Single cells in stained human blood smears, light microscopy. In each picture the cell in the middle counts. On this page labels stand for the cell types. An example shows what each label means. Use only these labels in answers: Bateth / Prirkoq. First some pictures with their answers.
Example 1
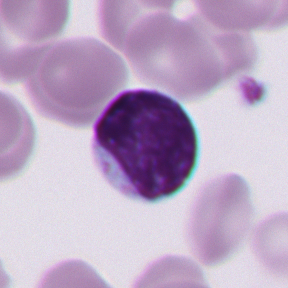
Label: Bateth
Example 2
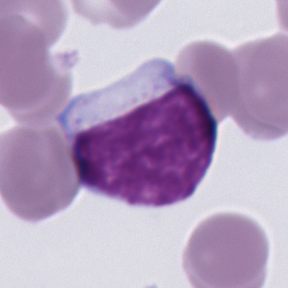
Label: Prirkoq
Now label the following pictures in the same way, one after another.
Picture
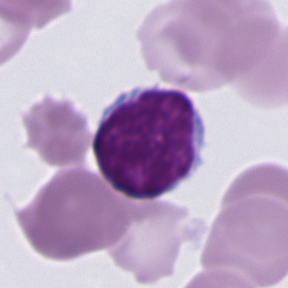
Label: Bateth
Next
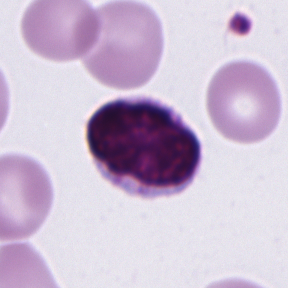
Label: Prirkoq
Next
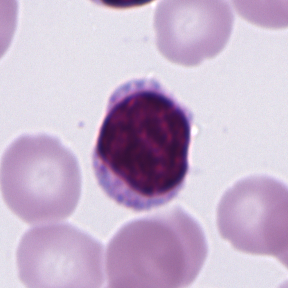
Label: Prirkoq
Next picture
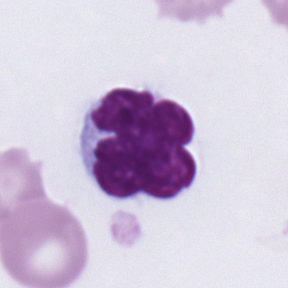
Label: Bateth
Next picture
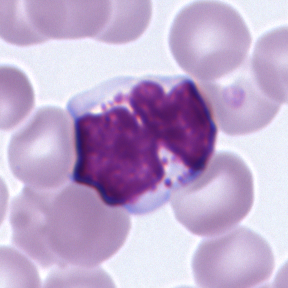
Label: Prirkoq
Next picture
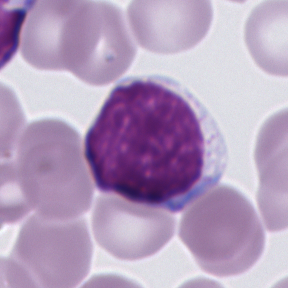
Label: Prirkoq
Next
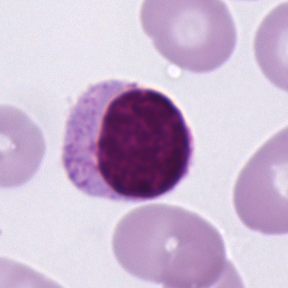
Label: Prirkoq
